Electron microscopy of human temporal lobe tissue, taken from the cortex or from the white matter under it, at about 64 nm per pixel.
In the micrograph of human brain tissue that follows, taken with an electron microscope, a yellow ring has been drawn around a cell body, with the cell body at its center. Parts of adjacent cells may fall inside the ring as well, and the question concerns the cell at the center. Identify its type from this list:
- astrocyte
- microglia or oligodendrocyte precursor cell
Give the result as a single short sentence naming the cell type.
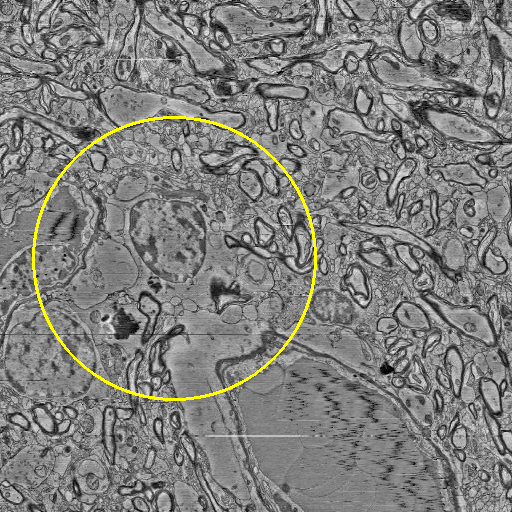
The ring is centered on a microglial cell or oligodendrocyte precursor cell.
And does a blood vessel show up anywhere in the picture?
Yes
